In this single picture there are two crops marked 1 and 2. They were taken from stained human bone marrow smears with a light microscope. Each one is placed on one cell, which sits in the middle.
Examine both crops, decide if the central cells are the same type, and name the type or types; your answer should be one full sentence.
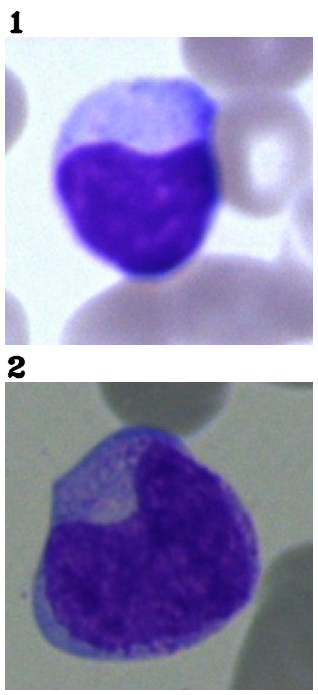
No, crop 1 features a lymphocyte, and crop 2 features a monocyte.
